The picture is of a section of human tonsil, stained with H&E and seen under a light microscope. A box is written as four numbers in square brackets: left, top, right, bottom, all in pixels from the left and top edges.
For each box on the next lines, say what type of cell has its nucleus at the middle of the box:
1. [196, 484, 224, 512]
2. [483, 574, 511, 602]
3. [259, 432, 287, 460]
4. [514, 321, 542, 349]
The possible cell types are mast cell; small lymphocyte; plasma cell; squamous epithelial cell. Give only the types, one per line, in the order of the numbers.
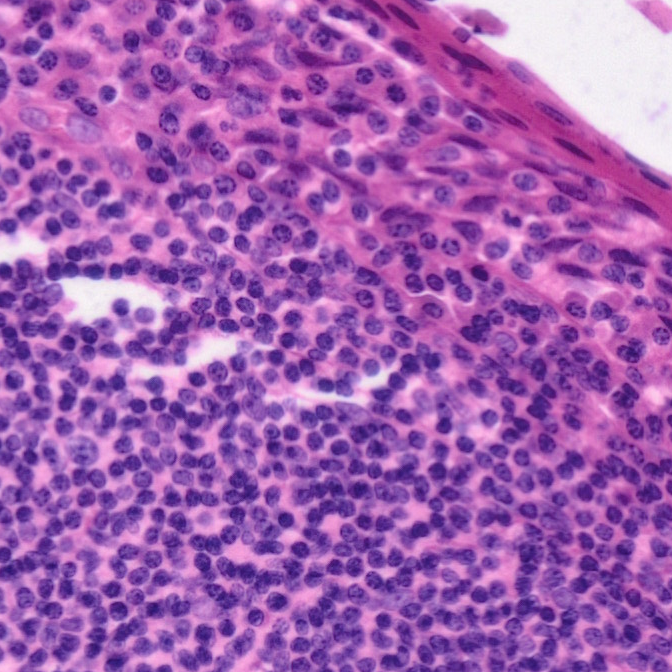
small lymphocyte
small lymphocyte
small lymphocyte
plasma cell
